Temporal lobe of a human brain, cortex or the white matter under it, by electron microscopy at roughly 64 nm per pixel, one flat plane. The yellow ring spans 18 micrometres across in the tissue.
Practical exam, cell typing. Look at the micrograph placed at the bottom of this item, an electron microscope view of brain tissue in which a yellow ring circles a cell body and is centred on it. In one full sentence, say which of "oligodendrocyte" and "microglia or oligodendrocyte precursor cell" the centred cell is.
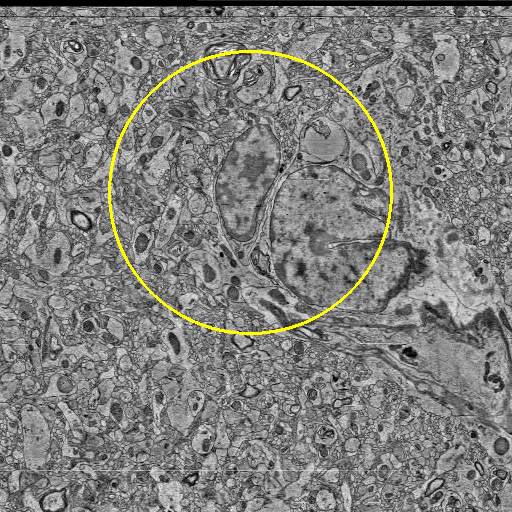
Given the options, a microglial cell or oligodendrocyte precursor cell fits the cell whose body the yellow ring is centred on.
